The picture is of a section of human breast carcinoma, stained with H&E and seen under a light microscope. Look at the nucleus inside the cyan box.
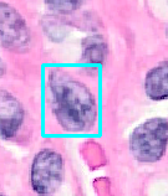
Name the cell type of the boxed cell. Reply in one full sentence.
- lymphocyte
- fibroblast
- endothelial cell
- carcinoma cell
The boxed cell is an endothelial cell.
